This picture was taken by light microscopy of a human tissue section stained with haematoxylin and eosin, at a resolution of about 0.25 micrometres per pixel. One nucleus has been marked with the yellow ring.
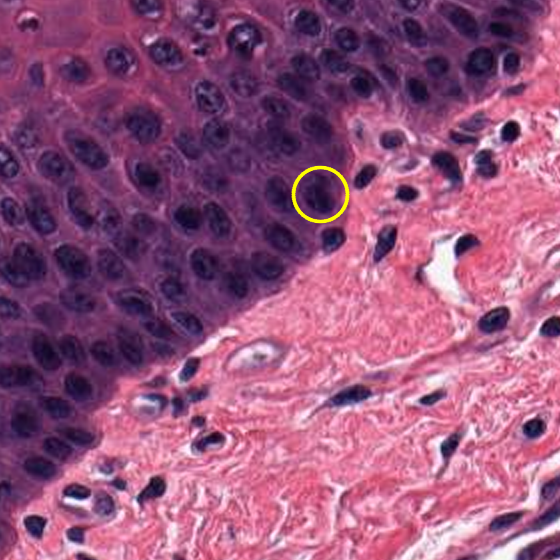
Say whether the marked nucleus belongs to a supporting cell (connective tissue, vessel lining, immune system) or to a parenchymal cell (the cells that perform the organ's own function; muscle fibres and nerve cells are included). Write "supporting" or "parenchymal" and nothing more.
parenchymal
